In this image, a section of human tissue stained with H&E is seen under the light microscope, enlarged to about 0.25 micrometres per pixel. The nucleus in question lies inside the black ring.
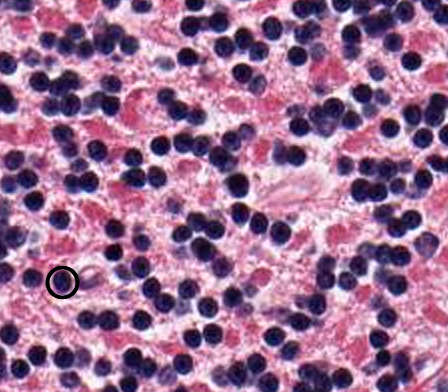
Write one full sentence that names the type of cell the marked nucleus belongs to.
The nucleus indicated by the mark belongs to a cerebellar granule cell.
